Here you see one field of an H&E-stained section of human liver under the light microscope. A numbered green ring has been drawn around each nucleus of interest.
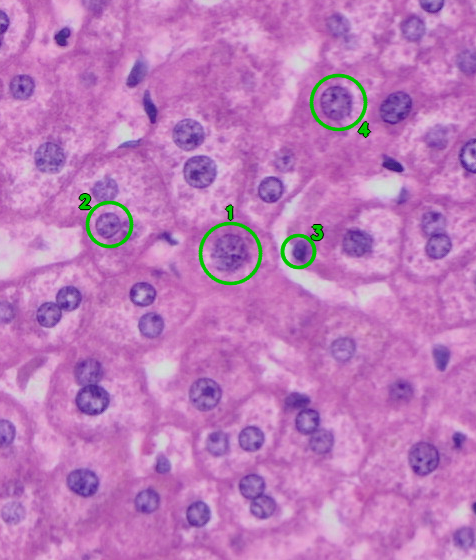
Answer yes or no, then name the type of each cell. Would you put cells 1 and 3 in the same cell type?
No, cell 1 is categorized as a hepatocyte, while cell 3 is categorized as a Kupffer cell.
